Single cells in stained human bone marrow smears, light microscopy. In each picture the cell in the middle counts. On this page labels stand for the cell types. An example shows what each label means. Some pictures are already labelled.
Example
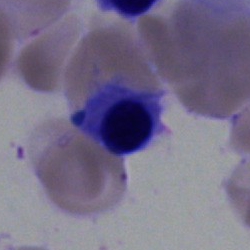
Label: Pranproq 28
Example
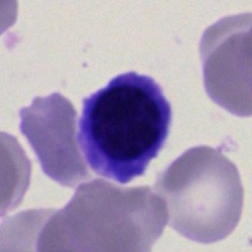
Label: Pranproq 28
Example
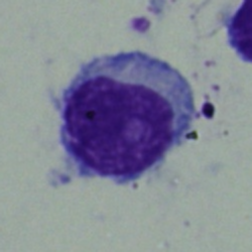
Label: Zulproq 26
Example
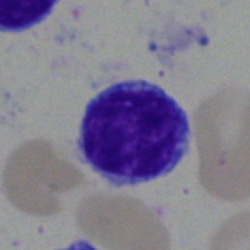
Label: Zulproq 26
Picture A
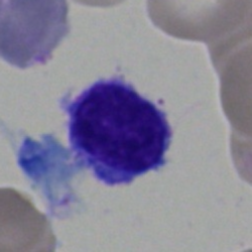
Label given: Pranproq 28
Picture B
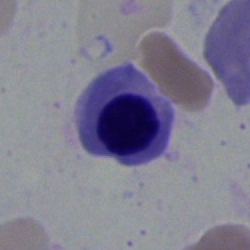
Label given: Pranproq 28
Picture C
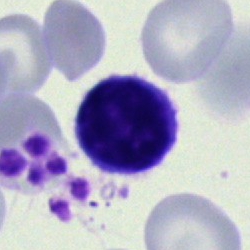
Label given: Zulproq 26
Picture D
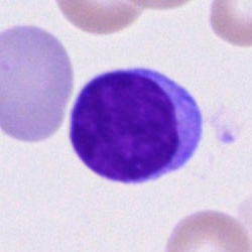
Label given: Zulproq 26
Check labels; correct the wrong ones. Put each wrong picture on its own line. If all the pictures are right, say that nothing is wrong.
A is labelled Pranproq 28; correct label: Zulproq 26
